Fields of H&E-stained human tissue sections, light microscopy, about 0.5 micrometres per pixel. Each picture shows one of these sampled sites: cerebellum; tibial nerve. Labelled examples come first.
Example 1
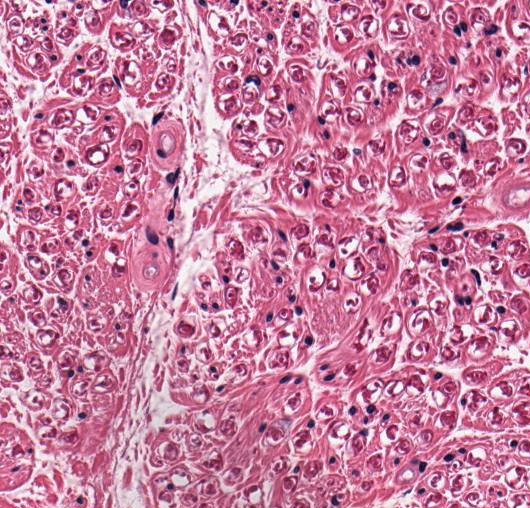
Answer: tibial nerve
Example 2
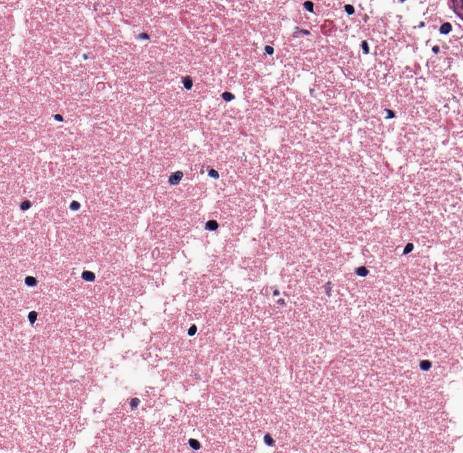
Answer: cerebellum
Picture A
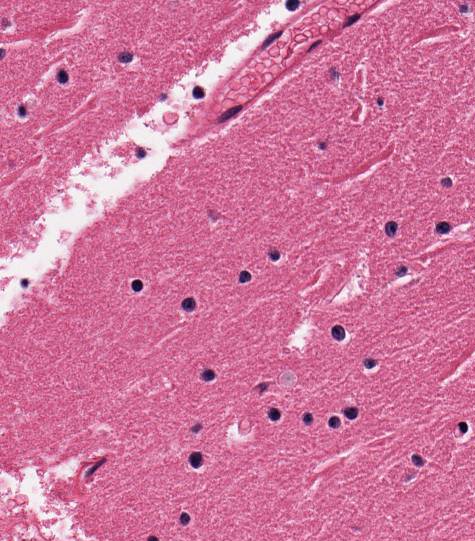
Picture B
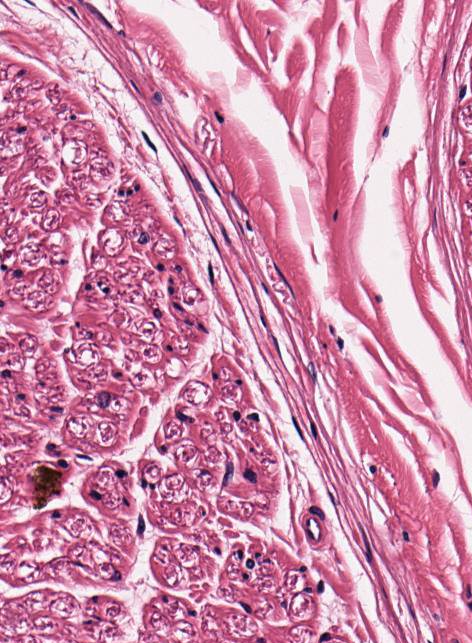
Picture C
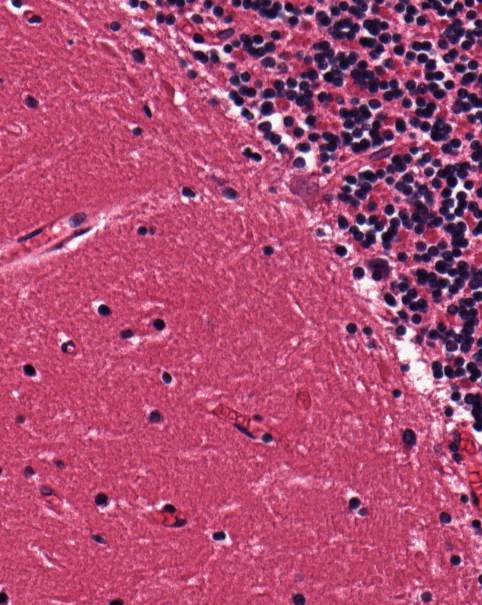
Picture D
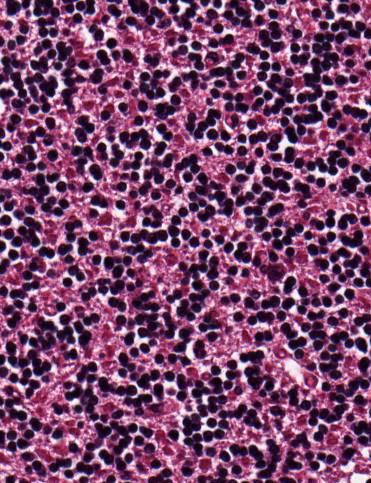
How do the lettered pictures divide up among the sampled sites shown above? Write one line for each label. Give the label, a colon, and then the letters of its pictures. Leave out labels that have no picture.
cerebellum: A, C, D
tibial nerve: B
